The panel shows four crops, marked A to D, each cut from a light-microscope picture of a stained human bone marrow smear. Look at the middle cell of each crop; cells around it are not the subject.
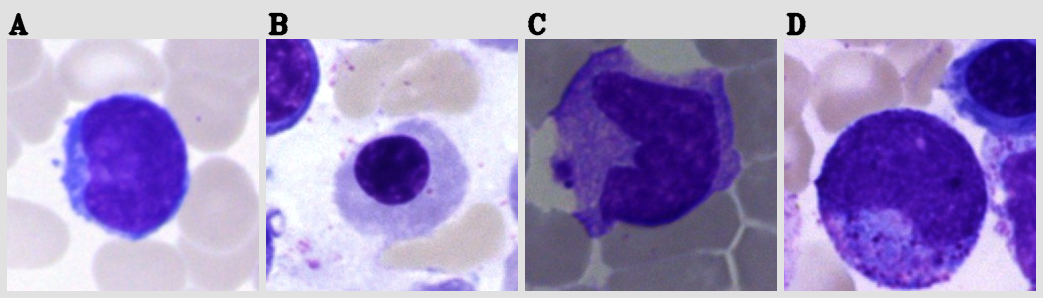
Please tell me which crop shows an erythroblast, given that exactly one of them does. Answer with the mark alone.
B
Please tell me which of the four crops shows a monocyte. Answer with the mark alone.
C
